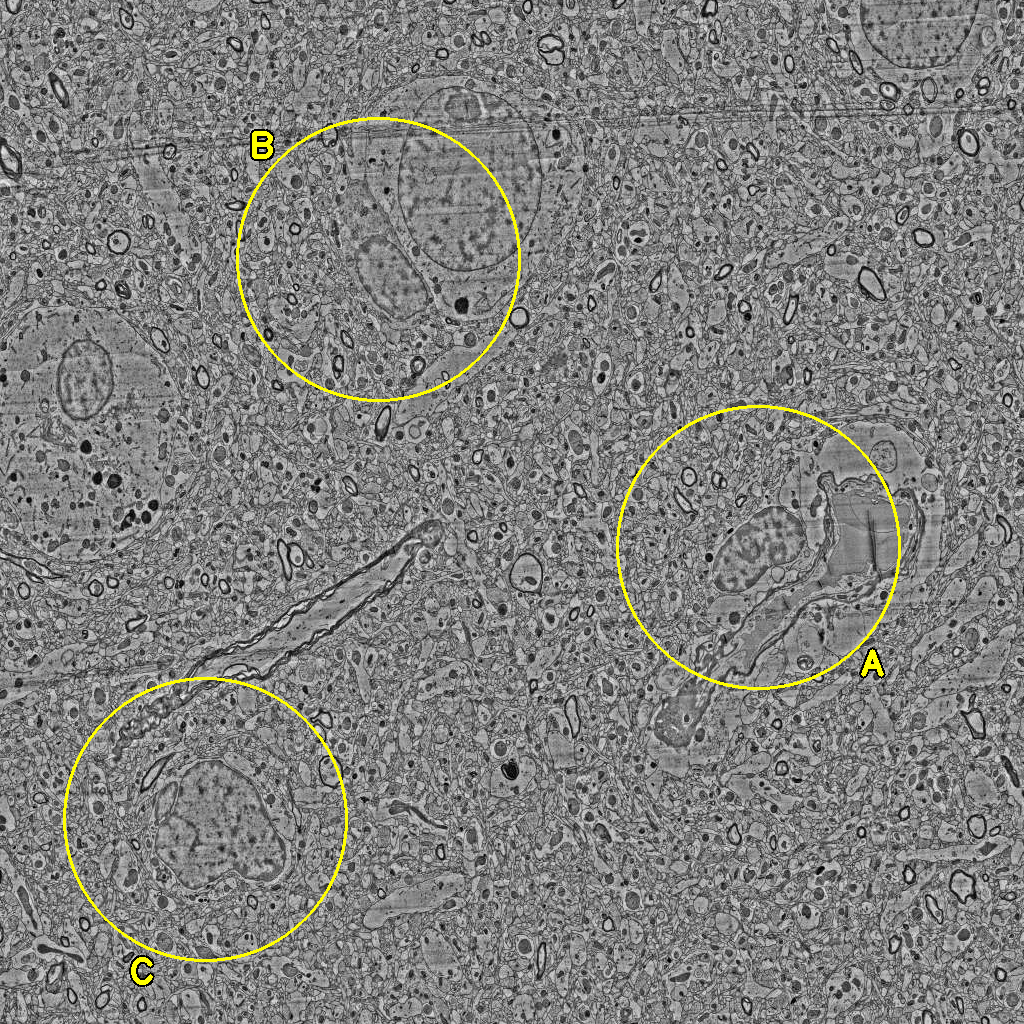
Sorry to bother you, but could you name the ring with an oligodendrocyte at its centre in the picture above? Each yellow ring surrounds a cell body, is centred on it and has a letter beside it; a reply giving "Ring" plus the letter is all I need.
Ring B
